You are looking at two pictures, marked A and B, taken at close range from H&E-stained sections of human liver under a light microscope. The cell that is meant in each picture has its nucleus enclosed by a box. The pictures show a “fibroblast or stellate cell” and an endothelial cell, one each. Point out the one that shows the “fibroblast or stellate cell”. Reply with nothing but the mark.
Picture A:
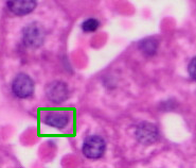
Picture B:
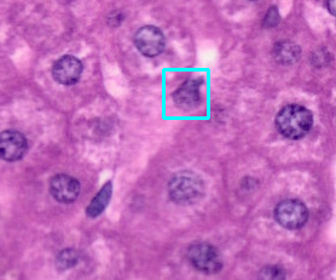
A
